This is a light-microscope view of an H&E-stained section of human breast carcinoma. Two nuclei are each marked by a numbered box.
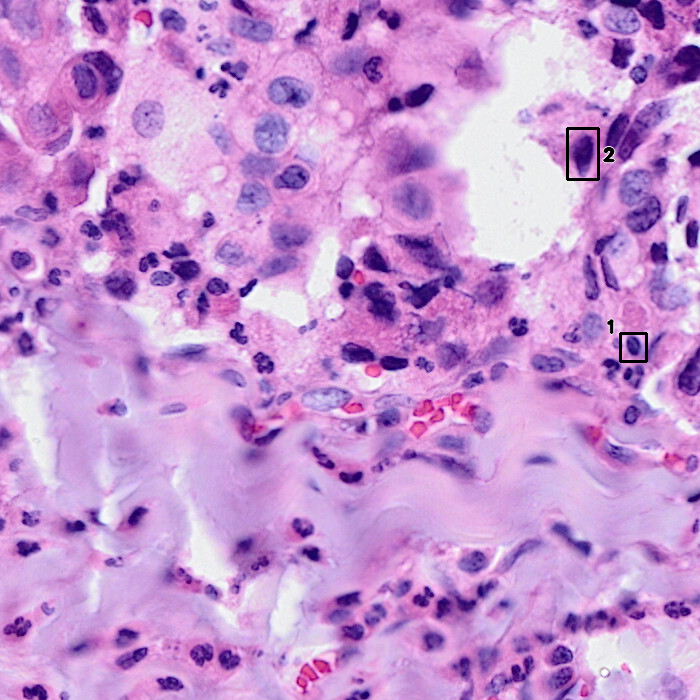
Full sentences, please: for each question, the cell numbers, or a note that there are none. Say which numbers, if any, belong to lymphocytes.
Exactly one of the numbered cells is a lymphocyte, namely cell 1.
